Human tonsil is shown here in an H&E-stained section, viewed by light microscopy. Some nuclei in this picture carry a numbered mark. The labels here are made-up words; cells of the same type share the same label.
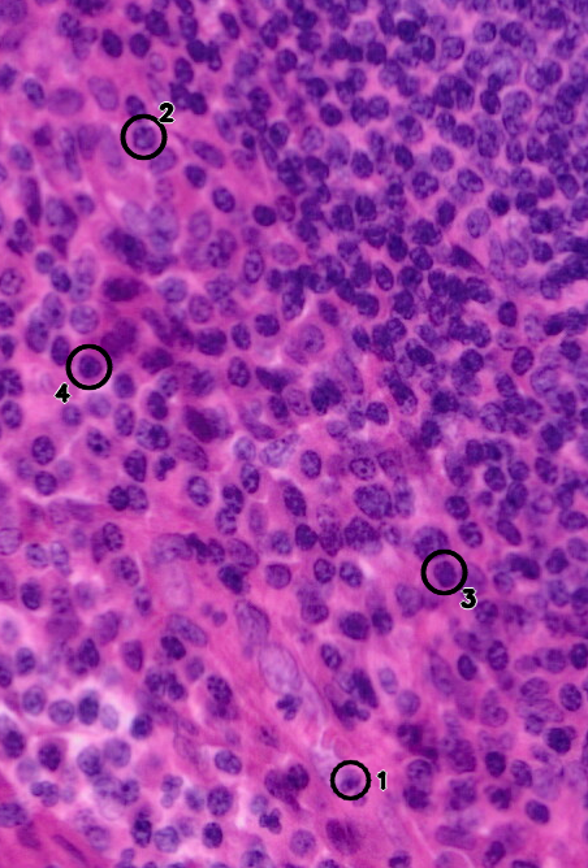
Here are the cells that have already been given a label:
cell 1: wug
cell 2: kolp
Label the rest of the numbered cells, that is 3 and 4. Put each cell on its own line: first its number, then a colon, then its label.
3: kolp
4: kolp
